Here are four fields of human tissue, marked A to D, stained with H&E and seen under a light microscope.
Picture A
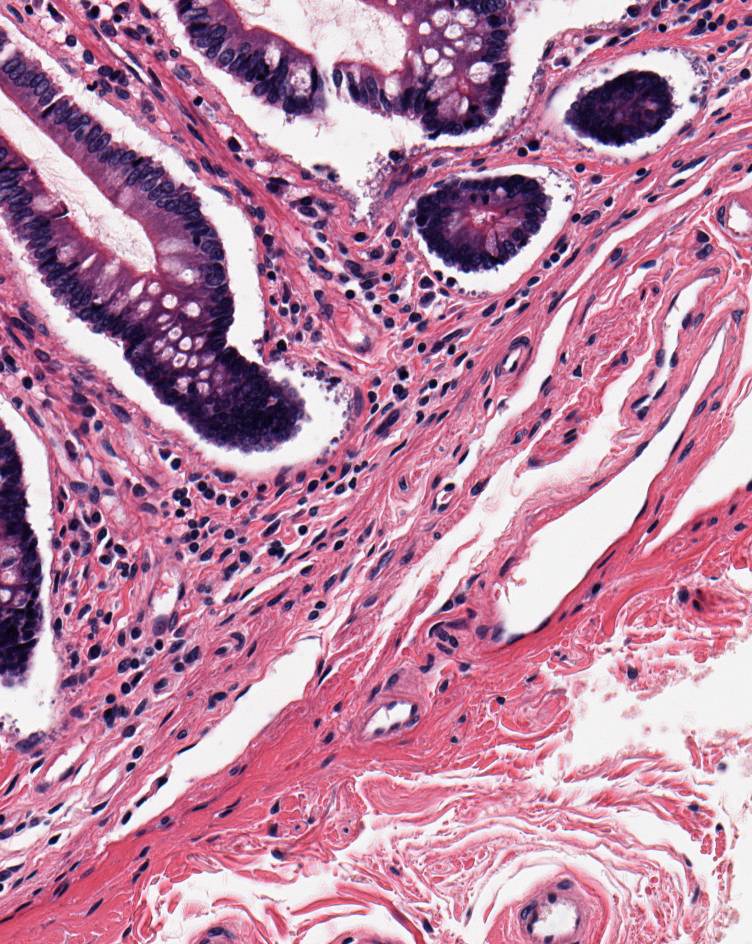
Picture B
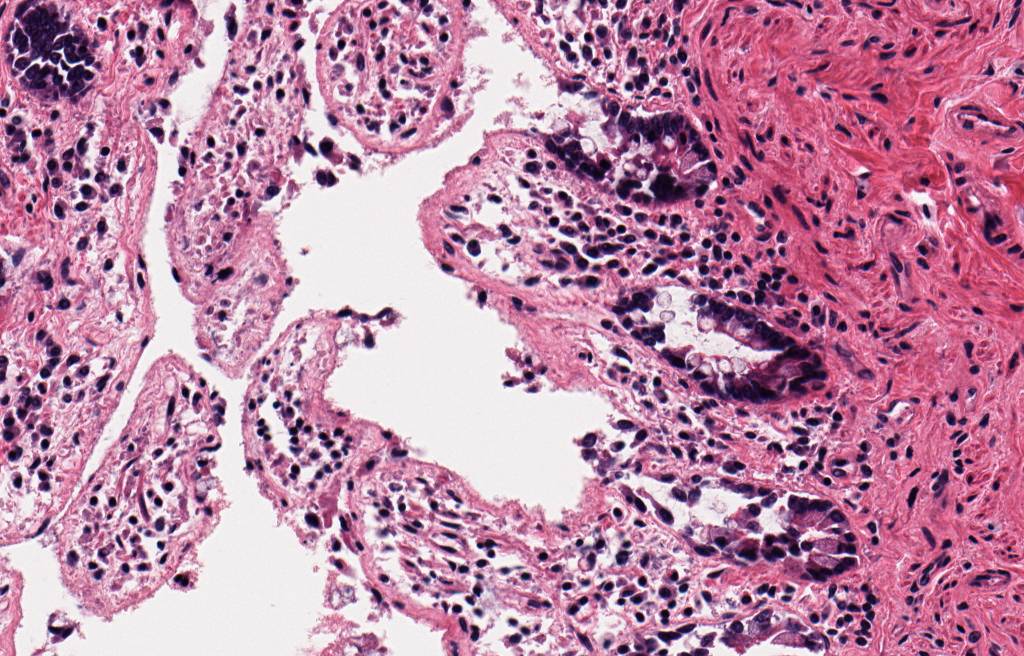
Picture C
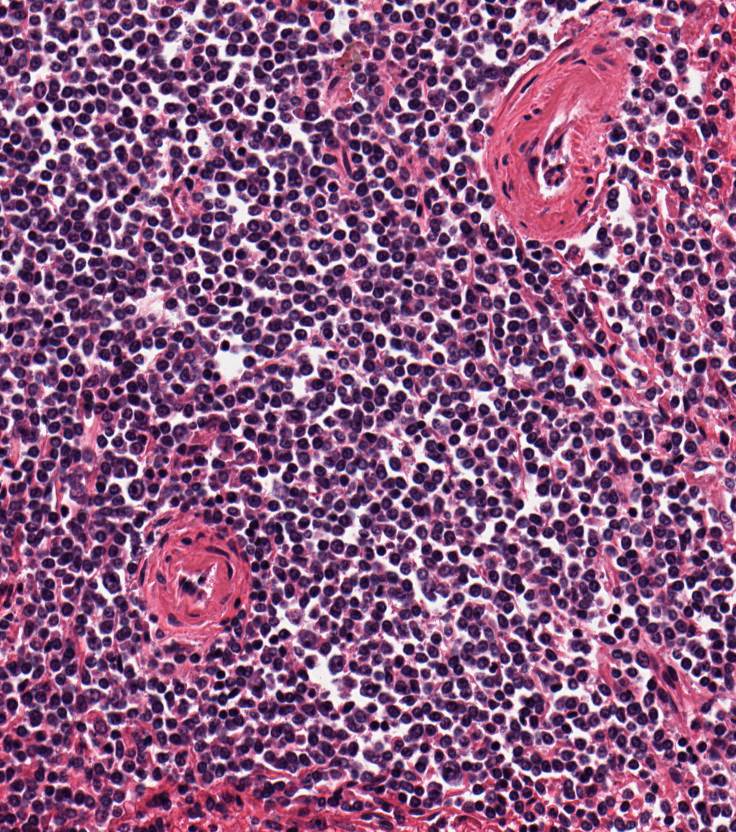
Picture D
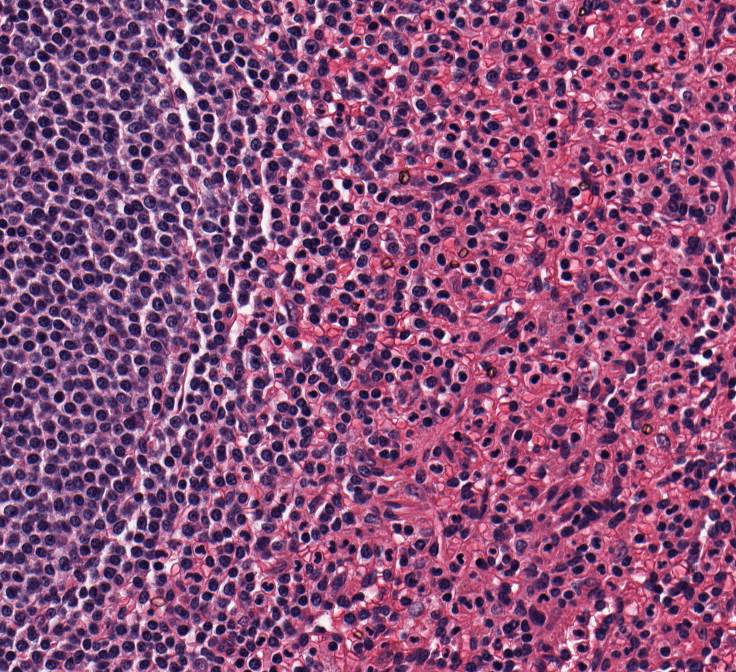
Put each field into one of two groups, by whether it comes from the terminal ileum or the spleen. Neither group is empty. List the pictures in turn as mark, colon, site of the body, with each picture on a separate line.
A: terminal ileum
B: terminal ileum
C: spleen
D: spleen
